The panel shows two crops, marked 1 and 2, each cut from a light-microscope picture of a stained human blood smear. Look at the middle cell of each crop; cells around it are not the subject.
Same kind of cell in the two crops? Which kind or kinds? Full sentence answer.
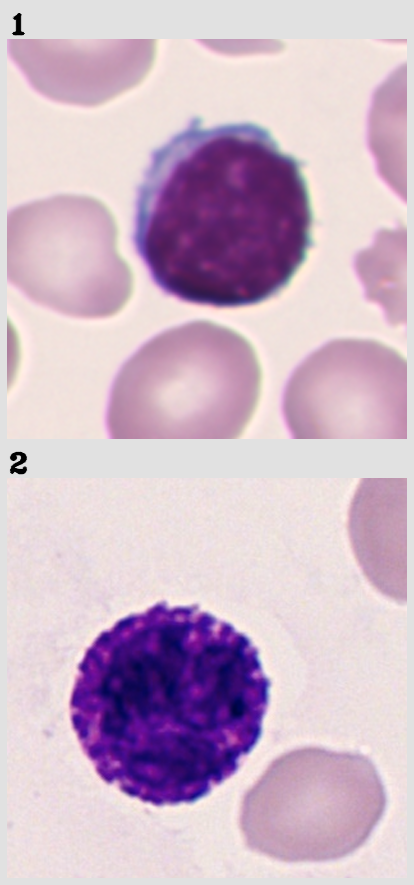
No, record crop 1 as a lymphocyte and crop 2 as a basophil.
